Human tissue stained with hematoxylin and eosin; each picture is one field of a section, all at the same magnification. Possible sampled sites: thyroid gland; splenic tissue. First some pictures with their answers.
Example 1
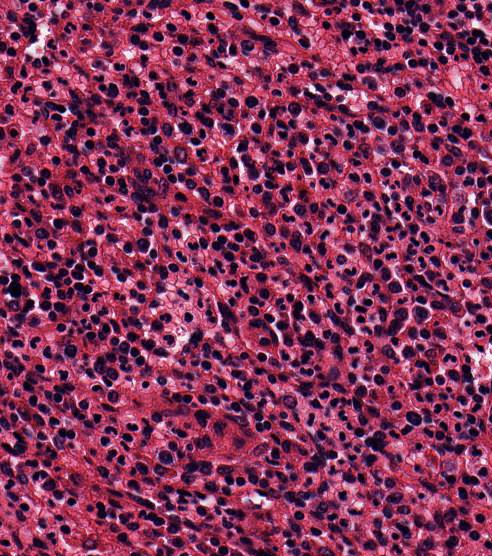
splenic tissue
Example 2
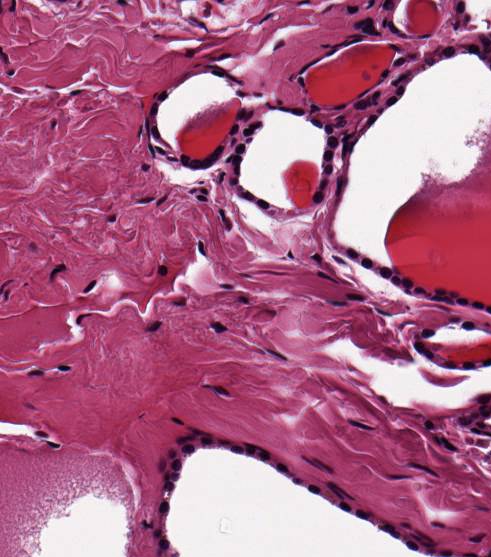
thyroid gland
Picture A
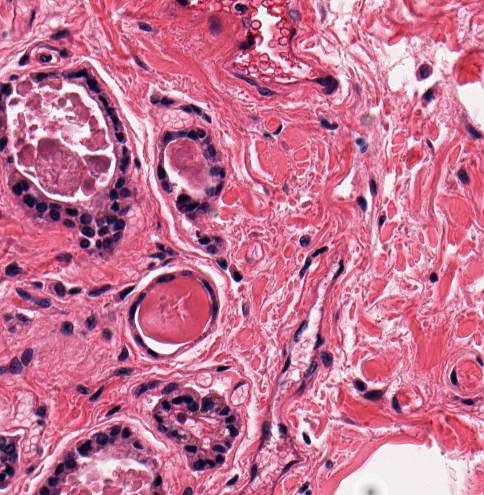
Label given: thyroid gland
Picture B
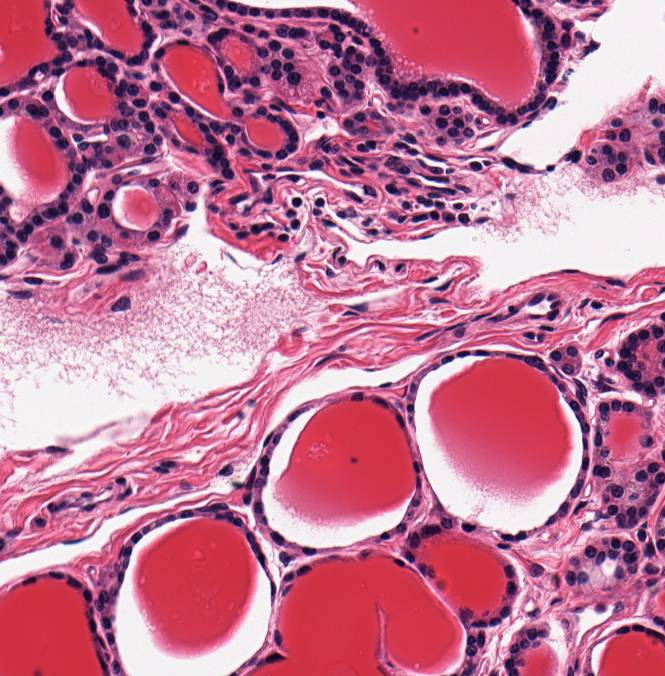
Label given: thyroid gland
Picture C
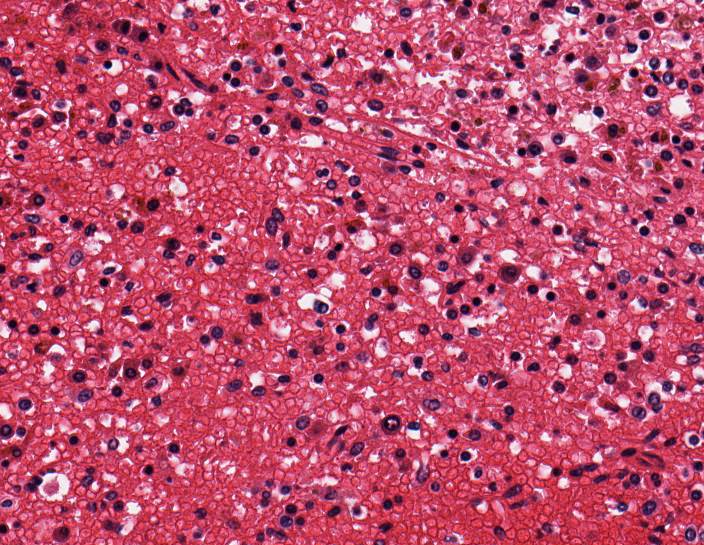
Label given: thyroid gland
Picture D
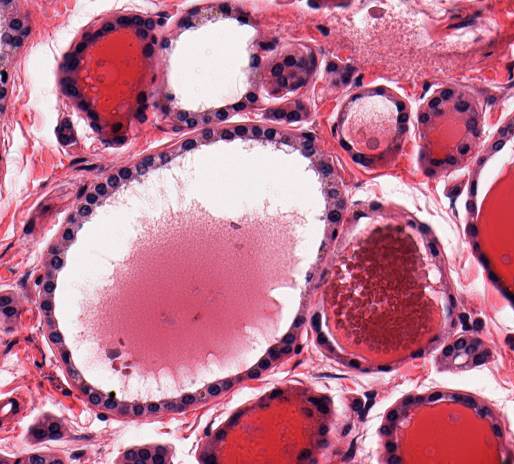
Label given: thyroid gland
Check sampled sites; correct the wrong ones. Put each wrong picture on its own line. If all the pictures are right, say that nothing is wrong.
C should be splenic tissue, not thyroid gland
